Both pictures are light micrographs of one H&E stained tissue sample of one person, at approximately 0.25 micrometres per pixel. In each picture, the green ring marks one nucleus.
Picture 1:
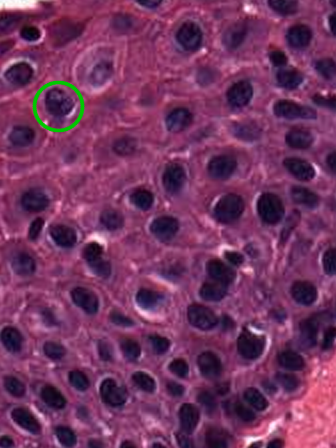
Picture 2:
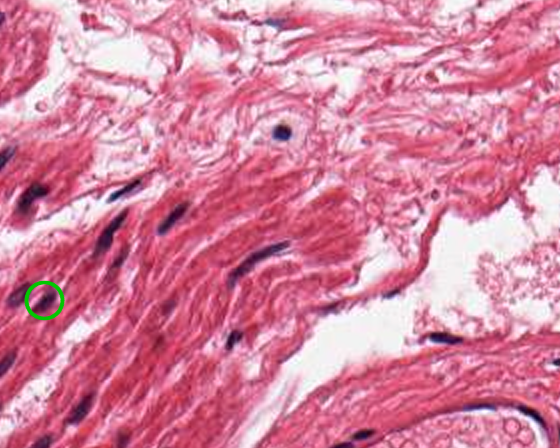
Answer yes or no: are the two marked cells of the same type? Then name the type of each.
No, the first is a squamous epithelial cell and the second a smooth muscle cell.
